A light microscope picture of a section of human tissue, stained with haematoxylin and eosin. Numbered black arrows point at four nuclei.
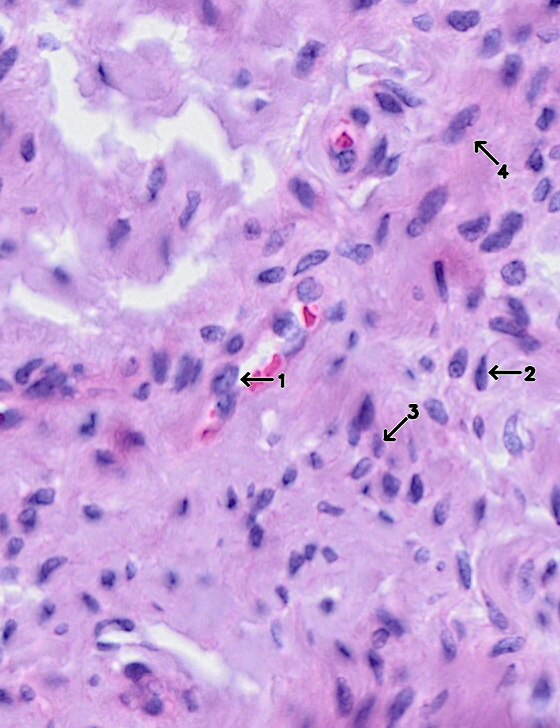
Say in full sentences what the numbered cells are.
Cell 1 is an endothelial cell. Cells 2, 3 and 4 are fibroblasts.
